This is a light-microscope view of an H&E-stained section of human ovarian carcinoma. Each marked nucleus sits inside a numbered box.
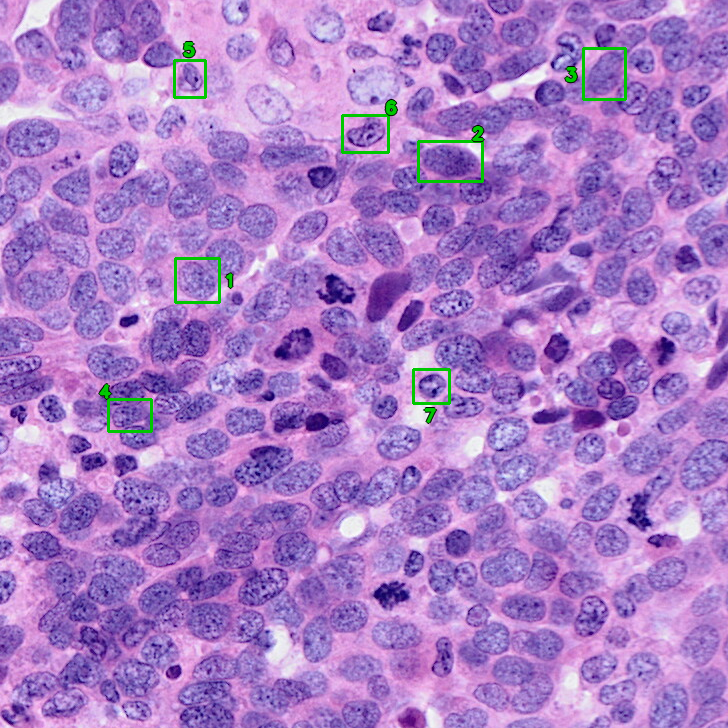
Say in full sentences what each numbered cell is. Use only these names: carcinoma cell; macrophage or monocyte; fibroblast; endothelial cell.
Cell 1 is a carcinoma cell, cell 2 is a carcinoma cell, cell 3 is a carcinoma cell, cell 4 is a carcinoma cell, cell 5 is a macrophage or monocyte, cell 6 is a macrophage or monocyte and cell 7 is a macrophage or monocyte.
